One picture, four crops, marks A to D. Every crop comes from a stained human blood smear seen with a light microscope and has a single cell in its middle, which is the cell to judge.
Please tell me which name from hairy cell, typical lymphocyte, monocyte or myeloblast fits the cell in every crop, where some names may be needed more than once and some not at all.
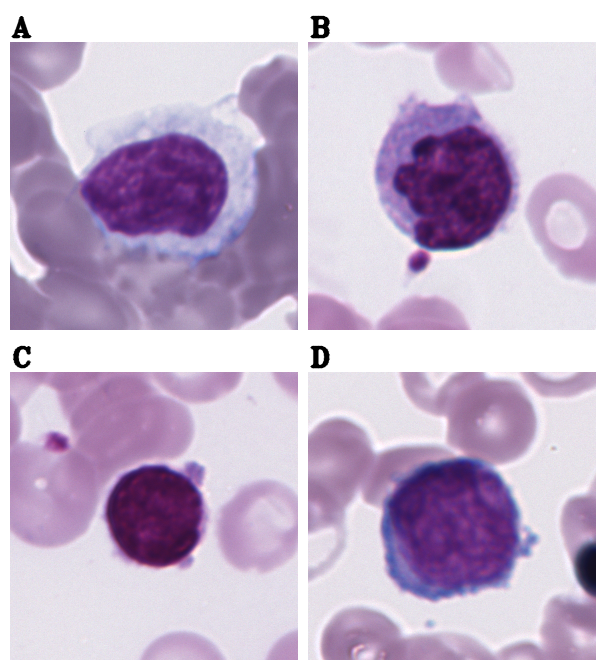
A: hairy cell
B: monocyte
C: typical lymphocyte
D: myeloblast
